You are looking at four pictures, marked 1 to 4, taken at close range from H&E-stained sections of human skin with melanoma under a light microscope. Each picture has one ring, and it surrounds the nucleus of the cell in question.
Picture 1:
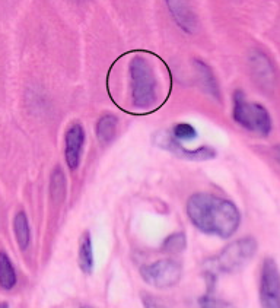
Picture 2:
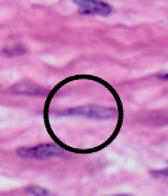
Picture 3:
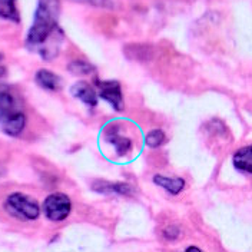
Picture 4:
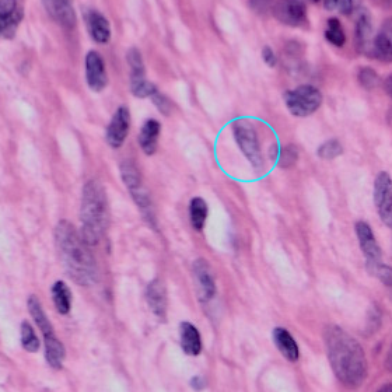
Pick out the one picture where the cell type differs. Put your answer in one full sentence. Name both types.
The different one is picture 1; it shows a keratinocyte, whereas all the others show “fibroblasts or myofibroblasts”.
